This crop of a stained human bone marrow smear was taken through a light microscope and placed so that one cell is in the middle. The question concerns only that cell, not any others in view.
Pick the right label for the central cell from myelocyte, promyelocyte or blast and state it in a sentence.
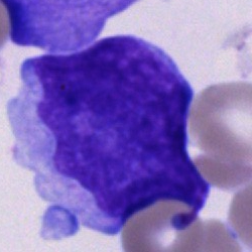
The central element of this crop is a cell, namely a blast.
